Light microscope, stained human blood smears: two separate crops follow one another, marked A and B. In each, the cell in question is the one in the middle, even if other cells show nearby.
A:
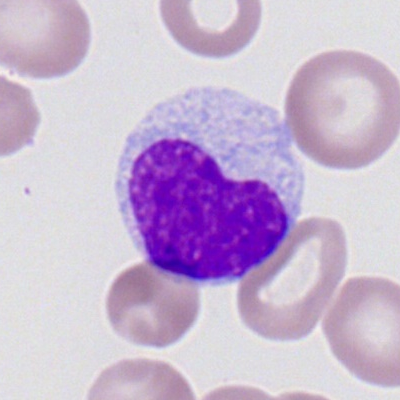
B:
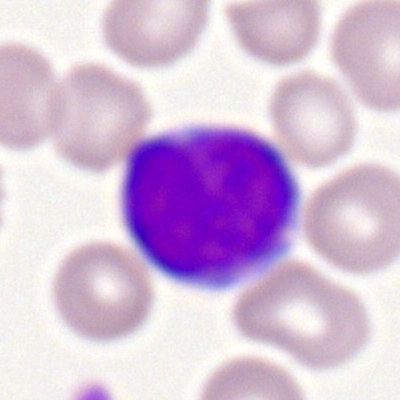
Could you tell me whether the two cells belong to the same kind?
no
